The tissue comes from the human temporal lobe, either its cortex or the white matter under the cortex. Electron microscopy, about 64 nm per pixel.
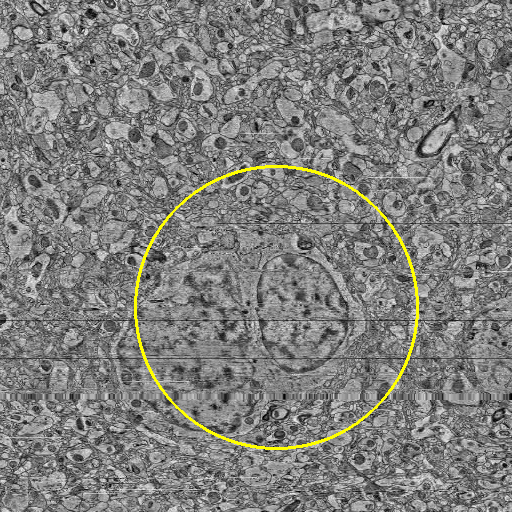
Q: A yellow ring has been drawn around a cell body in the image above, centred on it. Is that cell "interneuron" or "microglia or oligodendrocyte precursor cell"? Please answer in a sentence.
The ring surrounds the cell body of a microglial cell or oligodendrocyte precursor cell.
